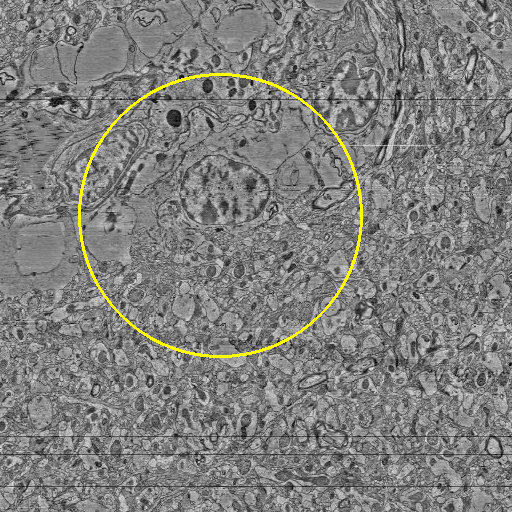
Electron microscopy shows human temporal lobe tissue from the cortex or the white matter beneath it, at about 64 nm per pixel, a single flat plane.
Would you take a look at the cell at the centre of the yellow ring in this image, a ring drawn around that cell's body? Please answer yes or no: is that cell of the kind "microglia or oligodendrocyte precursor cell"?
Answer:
yes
